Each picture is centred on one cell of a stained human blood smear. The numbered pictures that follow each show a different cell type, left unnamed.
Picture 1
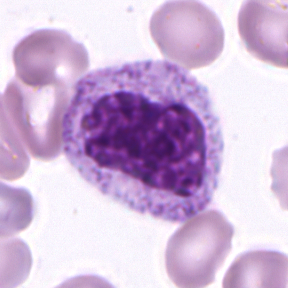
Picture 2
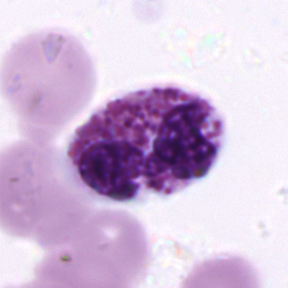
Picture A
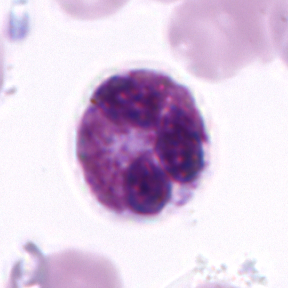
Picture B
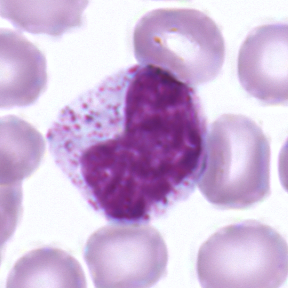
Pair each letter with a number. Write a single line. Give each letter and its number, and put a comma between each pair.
A 2, B 1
